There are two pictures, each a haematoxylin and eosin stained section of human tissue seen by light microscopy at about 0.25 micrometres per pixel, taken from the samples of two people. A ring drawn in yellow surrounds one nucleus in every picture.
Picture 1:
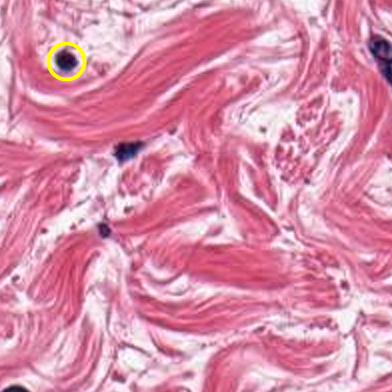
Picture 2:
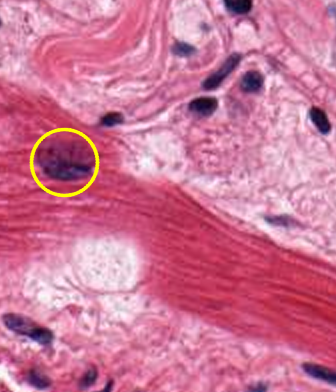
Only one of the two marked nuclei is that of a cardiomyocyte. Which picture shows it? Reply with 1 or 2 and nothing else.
2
